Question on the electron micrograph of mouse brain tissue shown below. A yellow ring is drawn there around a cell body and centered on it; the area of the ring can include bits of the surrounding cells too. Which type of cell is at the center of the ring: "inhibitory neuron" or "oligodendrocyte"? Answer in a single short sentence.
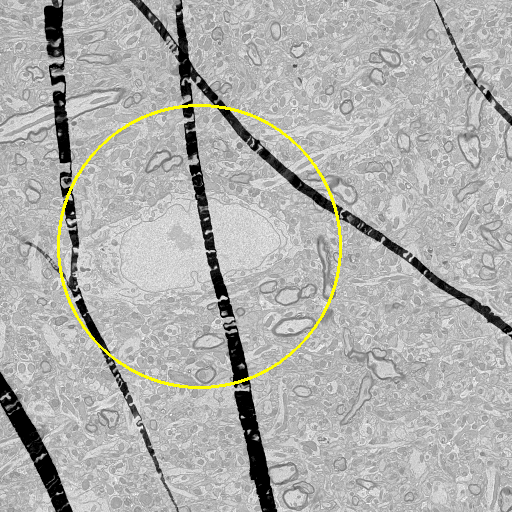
The ring is centered on an inhibitory neuron.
